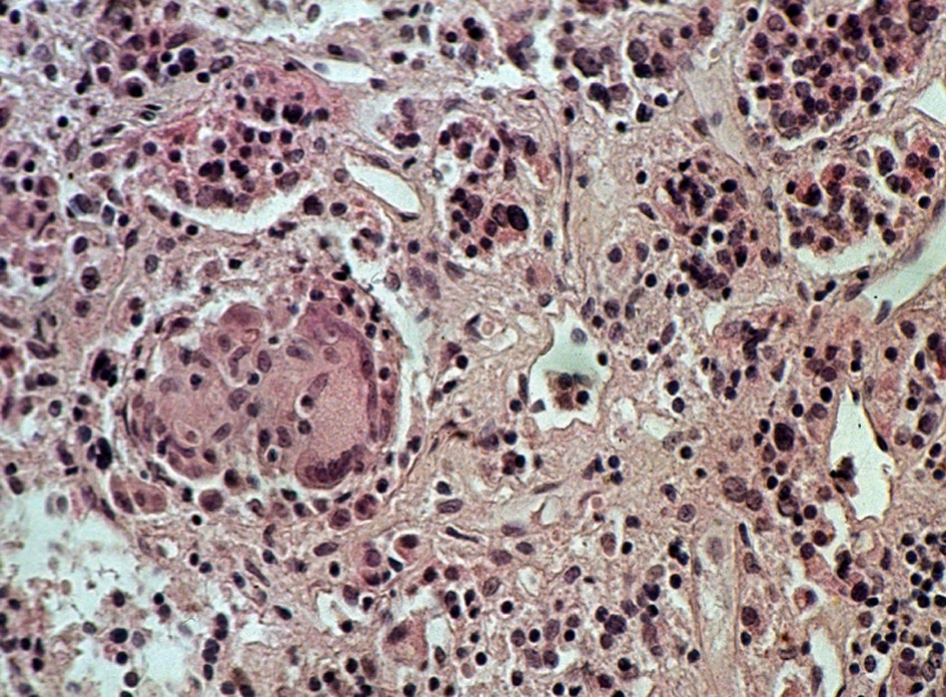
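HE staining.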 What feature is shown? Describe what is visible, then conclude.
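Granulomas. At left centre a rounded, compact nodule of pale pink cells with oval nuclei surrounds the giant cell.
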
